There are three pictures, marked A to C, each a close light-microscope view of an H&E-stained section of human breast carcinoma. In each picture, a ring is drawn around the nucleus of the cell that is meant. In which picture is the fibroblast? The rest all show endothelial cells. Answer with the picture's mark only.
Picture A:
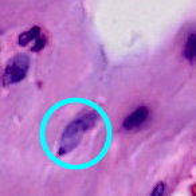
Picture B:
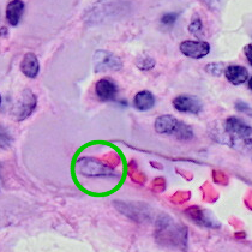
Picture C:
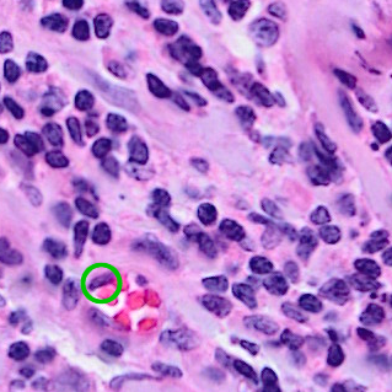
A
